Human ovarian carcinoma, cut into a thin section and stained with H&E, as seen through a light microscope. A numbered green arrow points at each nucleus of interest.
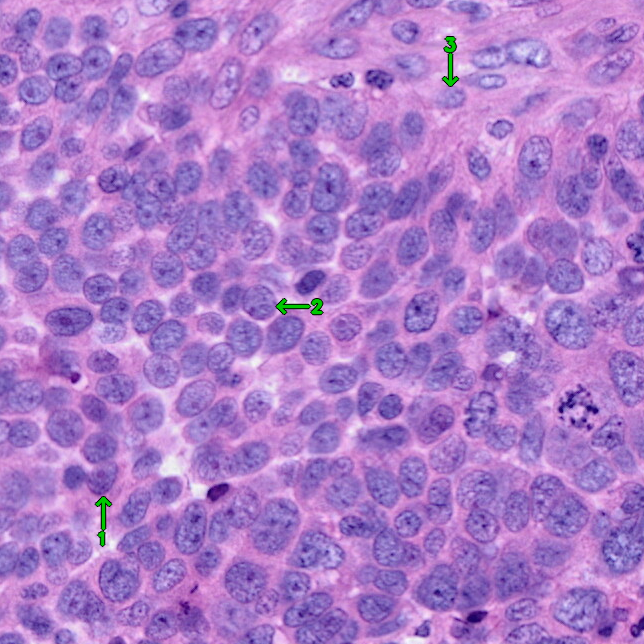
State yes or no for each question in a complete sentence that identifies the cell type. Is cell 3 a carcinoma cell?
No, number 3 identifies a fibroblast, not a carcinoma cell.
